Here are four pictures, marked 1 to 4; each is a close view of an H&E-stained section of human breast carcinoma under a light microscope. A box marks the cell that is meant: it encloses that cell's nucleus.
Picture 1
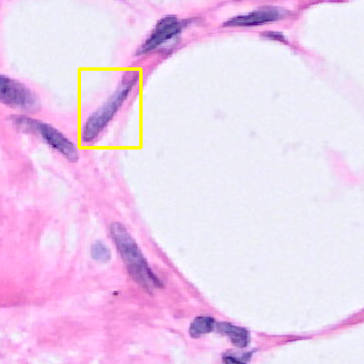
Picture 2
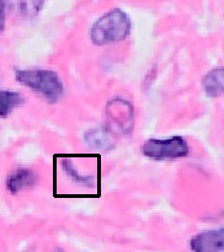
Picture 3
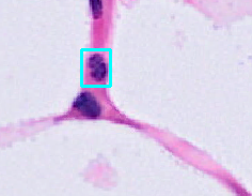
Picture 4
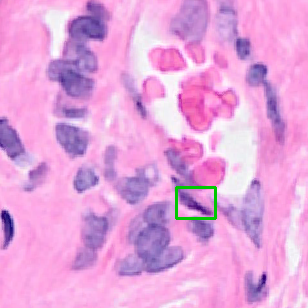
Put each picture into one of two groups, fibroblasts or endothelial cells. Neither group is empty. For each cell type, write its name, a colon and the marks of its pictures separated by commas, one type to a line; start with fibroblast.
fibroblast: 2
endothelial cell: 1, 3, 4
